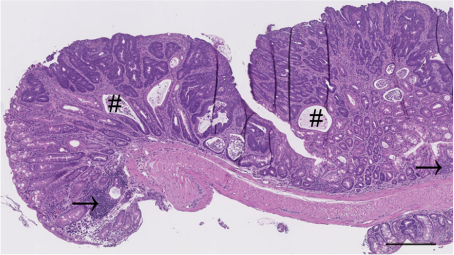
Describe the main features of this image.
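The glands are irregular in size and shape, closely packed and lined by cells with dark purple nuclei, with little stroma between them. Some glands are dilated with pale pink contents in their lumens, the crypt abscesses. Dense dark clusters of small nuclei mark immune cell infiltration within the lesion. The thin pink muscle wall runs beneath the growth.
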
